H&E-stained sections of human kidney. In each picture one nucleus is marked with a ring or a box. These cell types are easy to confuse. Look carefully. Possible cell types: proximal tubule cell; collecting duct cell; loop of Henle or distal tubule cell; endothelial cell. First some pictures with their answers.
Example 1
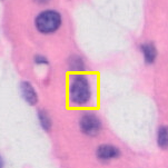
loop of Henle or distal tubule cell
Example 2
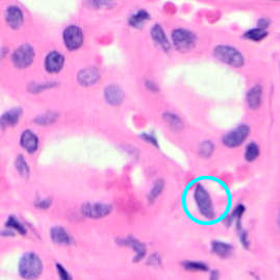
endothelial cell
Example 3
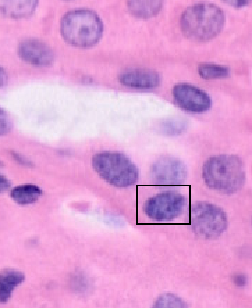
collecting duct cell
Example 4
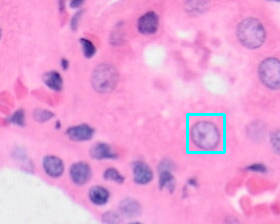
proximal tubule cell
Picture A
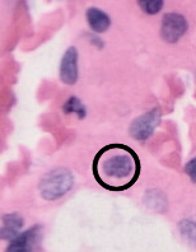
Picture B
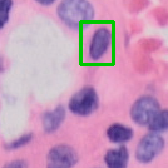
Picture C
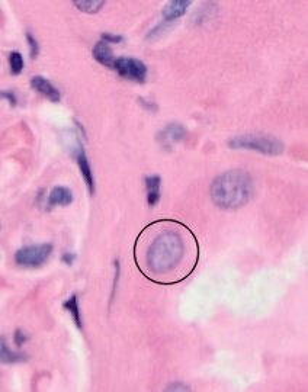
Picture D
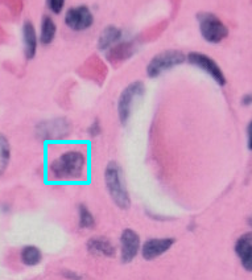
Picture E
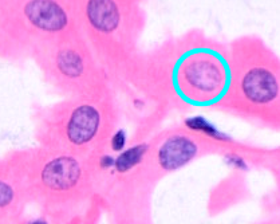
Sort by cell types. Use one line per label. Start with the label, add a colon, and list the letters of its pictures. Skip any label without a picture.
proximal tubule cell: C, E
collecting duct cell: B
loop of Henle or distal tubule cell: A, D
